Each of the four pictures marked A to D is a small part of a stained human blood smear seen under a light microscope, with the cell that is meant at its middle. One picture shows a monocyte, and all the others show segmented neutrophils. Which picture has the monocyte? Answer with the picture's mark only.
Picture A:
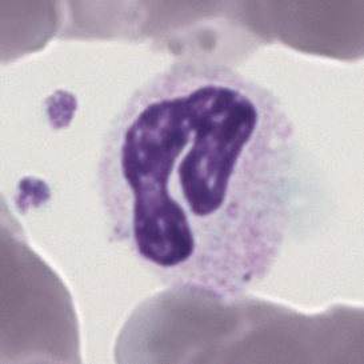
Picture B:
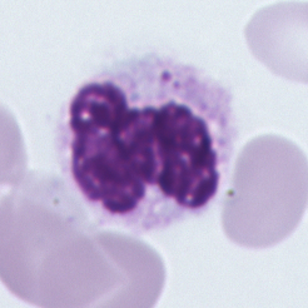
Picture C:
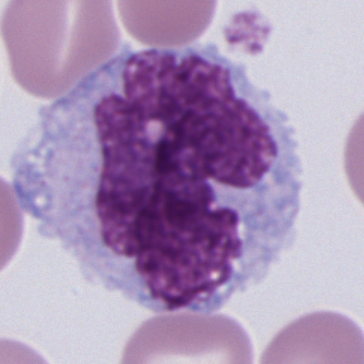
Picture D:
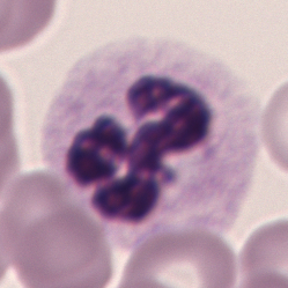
C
